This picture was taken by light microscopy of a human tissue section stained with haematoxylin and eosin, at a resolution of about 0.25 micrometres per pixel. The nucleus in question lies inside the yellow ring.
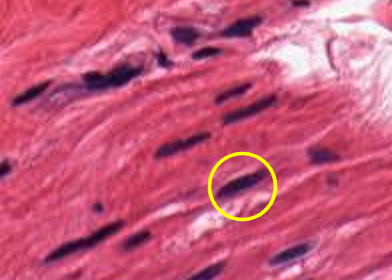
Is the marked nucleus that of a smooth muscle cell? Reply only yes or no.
yes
